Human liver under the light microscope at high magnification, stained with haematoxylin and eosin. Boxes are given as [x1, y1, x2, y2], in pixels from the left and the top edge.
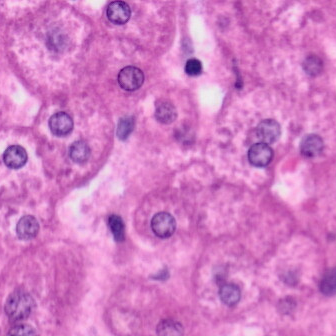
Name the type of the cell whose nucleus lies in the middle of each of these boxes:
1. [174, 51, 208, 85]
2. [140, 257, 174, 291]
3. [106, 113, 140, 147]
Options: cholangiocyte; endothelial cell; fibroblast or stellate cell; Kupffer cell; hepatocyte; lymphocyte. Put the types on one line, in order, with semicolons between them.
lymphocyte; endothelial cell; endothelial cell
